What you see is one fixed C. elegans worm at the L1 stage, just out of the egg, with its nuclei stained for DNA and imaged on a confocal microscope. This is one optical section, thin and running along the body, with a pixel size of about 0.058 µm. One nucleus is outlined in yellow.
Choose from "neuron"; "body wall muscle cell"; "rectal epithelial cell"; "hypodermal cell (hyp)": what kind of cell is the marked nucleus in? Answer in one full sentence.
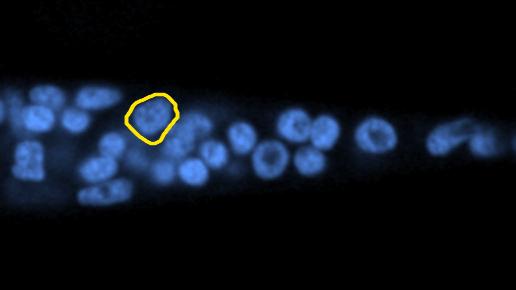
It is the nucleus of a rectal epithelial cell.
